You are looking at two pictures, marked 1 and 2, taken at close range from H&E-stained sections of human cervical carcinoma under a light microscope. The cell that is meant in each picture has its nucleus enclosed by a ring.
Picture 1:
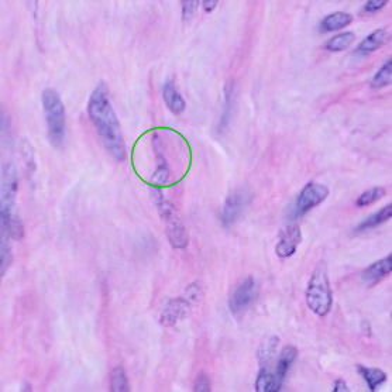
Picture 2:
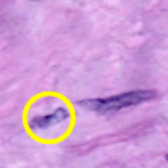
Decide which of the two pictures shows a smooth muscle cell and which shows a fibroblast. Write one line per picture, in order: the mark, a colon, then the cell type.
1: smooth muscle cell
2: fibroblast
